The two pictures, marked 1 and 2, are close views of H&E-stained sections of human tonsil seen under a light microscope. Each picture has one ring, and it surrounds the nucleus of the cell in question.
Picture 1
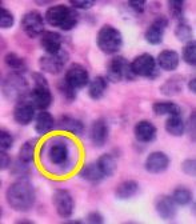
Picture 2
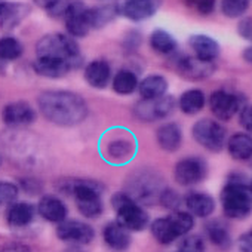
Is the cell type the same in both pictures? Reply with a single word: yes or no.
no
